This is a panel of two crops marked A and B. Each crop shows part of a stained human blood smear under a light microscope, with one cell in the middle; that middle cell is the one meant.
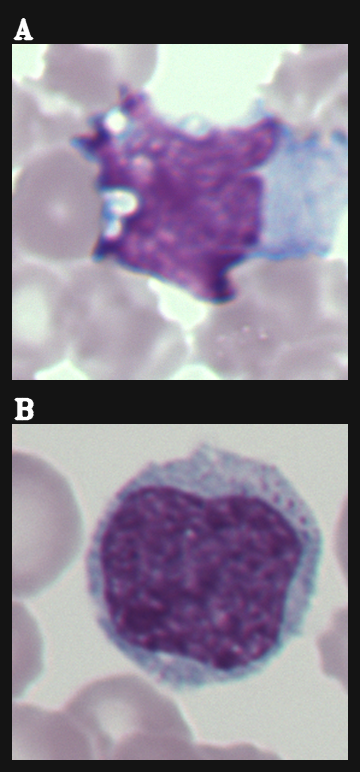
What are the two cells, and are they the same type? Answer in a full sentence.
Yes, the two crops are alike in showing monocytes.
